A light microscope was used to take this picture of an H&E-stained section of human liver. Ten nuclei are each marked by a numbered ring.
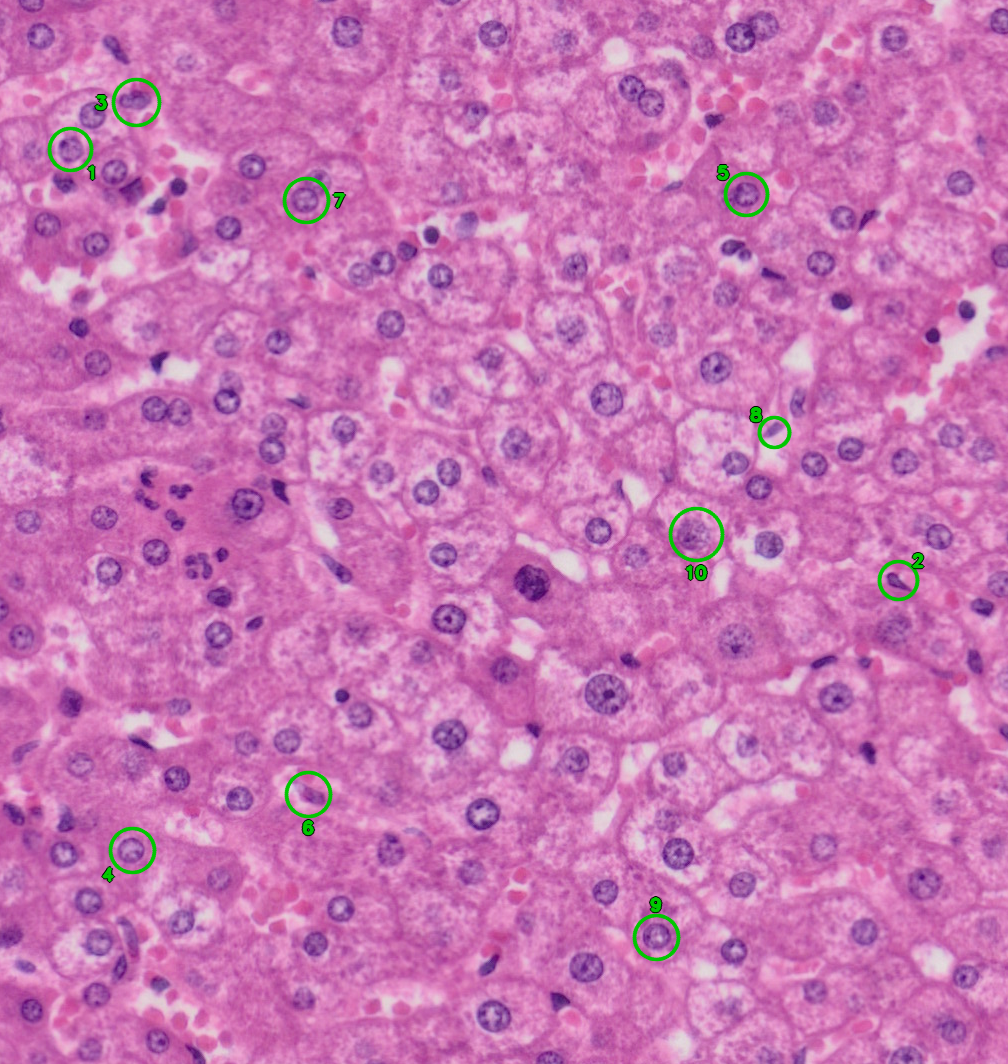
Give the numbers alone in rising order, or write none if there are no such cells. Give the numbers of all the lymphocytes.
8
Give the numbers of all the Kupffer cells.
3, 6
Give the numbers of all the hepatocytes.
1, 4, 5, 7, 9, 10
